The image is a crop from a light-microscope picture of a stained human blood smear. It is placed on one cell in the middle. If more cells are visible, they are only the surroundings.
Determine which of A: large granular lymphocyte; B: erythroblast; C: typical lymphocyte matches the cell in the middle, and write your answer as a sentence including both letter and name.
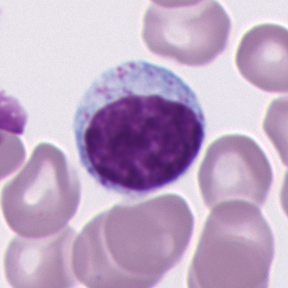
The cell occupying the centre is a large granular lymphocyte; option A is thus the correct choice.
